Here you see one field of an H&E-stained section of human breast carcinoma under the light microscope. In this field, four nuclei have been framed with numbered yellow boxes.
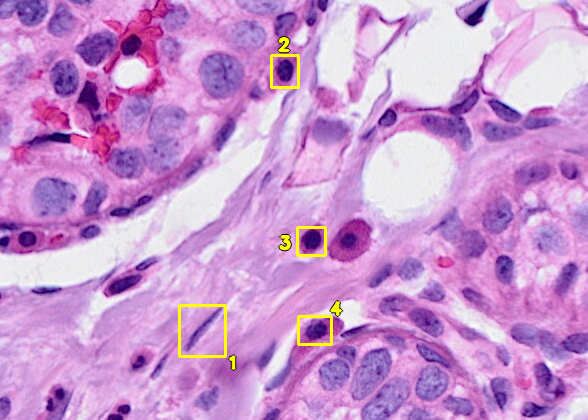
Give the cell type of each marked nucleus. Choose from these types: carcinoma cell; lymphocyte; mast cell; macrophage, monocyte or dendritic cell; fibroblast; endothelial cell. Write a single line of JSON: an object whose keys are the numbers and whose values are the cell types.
{"1": "fibroblast", "2": "mast cell", "3": "mast cell", "4": "mast cell"}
